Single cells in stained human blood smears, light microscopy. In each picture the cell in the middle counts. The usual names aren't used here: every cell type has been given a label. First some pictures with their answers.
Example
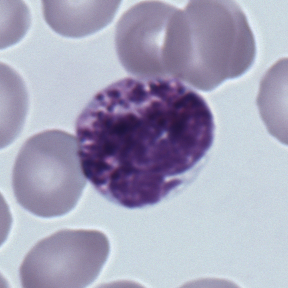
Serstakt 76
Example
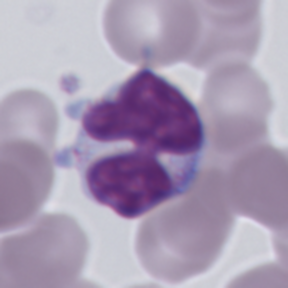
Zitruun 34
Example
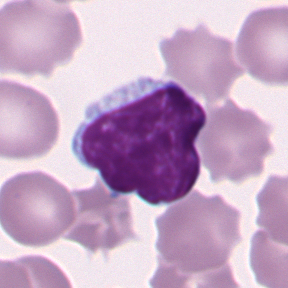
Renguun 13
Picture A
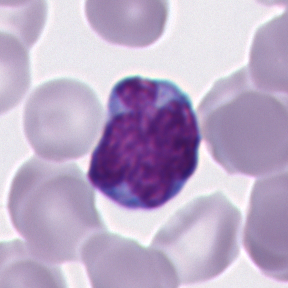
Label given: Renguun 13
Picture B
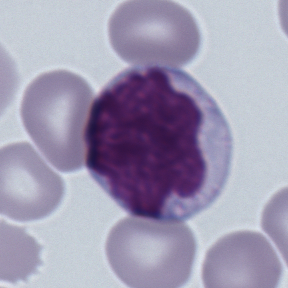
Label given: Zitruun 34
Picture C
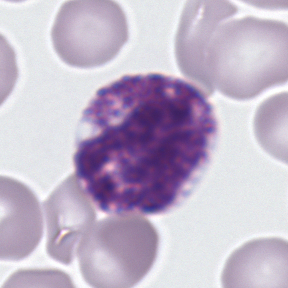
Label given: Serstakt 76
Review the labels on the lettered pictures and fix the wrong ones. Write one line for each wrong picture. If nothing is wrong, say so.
None of the labels needs changing.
